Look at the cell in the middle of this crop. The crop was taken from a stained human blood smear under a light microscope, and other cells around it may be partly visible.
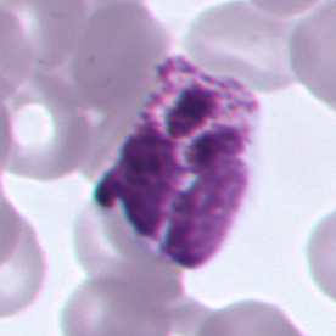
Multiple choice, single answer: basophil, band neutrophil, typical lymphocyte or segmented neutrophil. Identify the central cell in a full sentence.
The cell of interest, in the center, is a basophil.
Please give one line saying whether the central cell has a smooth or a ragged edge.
Irregularity marks the cell border, whether as raggedness or as projections.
